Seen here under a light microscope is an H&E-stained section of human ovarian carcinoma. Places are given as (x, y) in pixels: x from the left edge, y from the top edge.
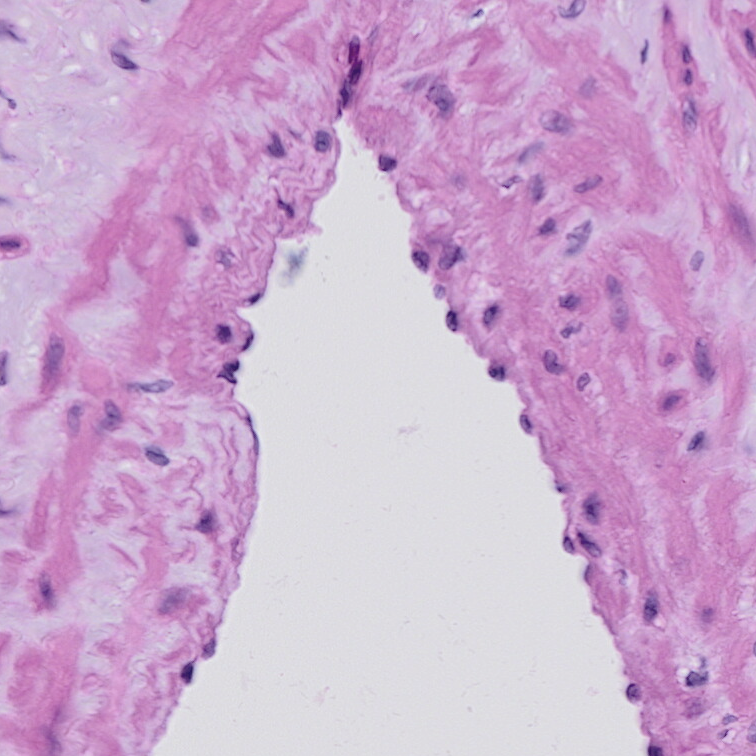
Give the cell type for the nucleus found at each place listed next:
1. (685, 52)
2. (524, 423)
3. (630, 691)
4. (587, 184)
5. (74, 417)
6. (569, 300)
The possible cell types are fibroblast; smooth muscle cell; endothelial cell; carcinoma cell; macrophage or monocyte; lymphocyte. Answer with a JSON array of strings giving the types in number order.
["smooth muscle cell", "endothelial cell", "endothelial cell", "smooth muscle cell", "smooth muscle cell", "smooth muscle cell"]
